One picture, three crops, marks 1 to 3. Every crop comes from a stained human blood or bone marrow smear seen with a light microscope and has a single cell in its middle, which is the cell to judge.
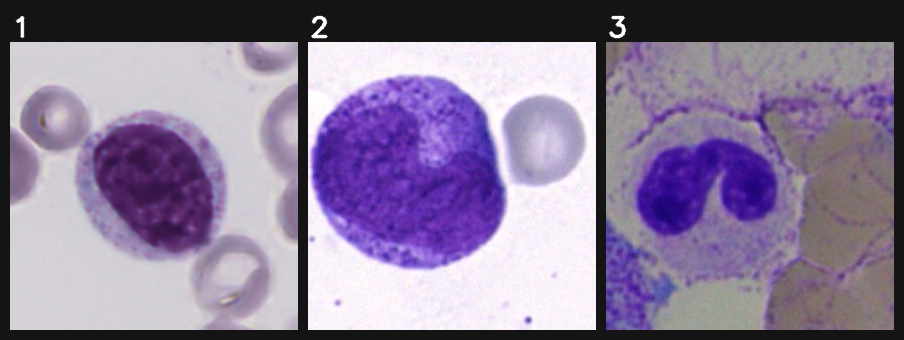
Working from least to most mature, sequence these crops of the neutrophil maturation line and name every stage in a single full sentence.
Ranked from the least mature cell to the most mature, they are crop 2 (a promyelocyte), crop 1 (a metamyelocyte) and crop 3 (a band neutrophil).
